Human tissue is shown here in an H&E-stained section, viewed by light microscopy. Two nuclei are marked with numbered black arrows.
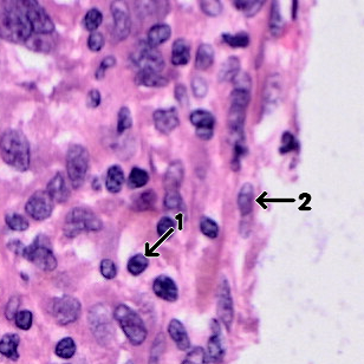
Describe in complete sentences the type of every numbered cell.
Cell 1 is a lymphocyte. Cell 2 is a macrophage or monocyte.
